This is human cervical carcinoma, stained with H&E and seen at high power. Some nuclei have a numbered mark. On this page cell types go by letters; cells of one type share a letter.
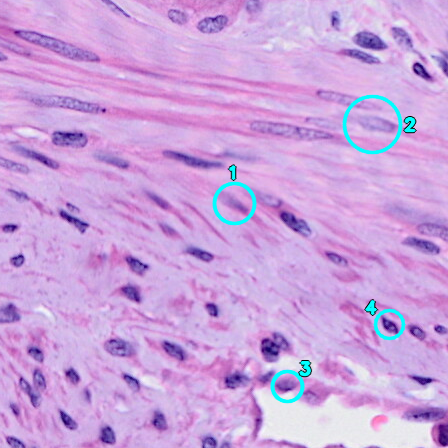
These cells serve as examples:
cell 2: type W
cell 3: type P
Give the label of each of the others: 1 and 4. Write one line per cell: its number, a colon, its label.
1: type W
4: type W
